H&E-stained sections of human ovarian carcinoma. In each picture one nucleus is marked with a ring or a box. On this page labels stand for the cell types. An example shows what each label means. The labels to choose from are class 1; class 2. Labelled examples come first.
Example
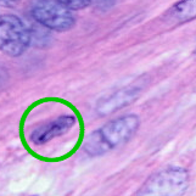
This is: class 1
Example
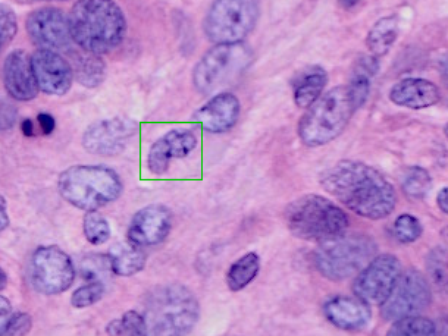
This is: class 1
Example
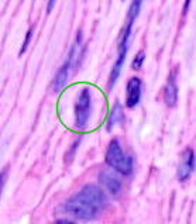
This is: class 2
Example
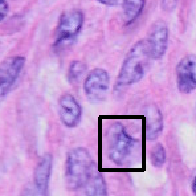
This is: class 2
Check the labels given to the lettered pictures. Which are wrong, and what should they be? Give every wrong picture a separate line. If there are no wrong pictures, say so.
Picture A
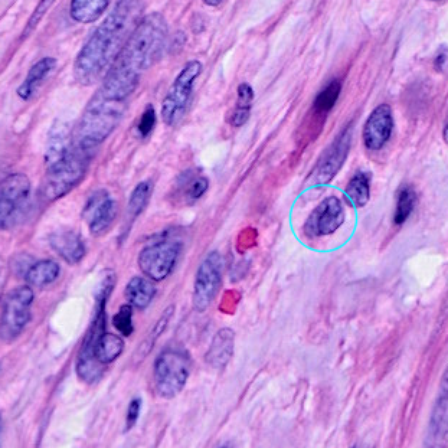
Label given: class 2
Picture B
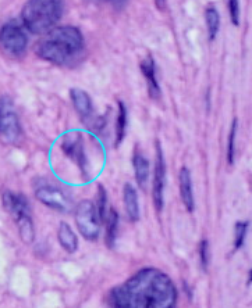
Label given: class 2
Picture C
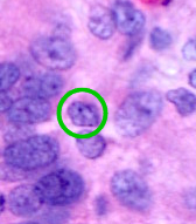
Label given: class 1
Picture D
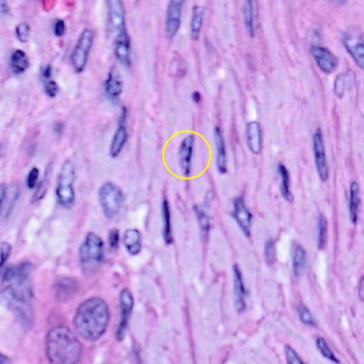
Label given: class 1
A: not class 2 but class 1
D: not class 1 but class 2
